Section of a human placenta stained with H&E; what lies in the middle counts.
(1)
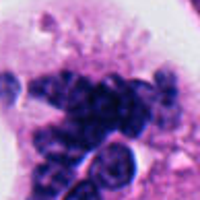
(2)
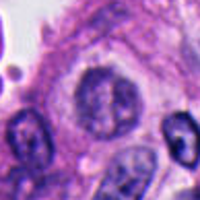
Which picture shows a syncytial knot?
Picture 1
